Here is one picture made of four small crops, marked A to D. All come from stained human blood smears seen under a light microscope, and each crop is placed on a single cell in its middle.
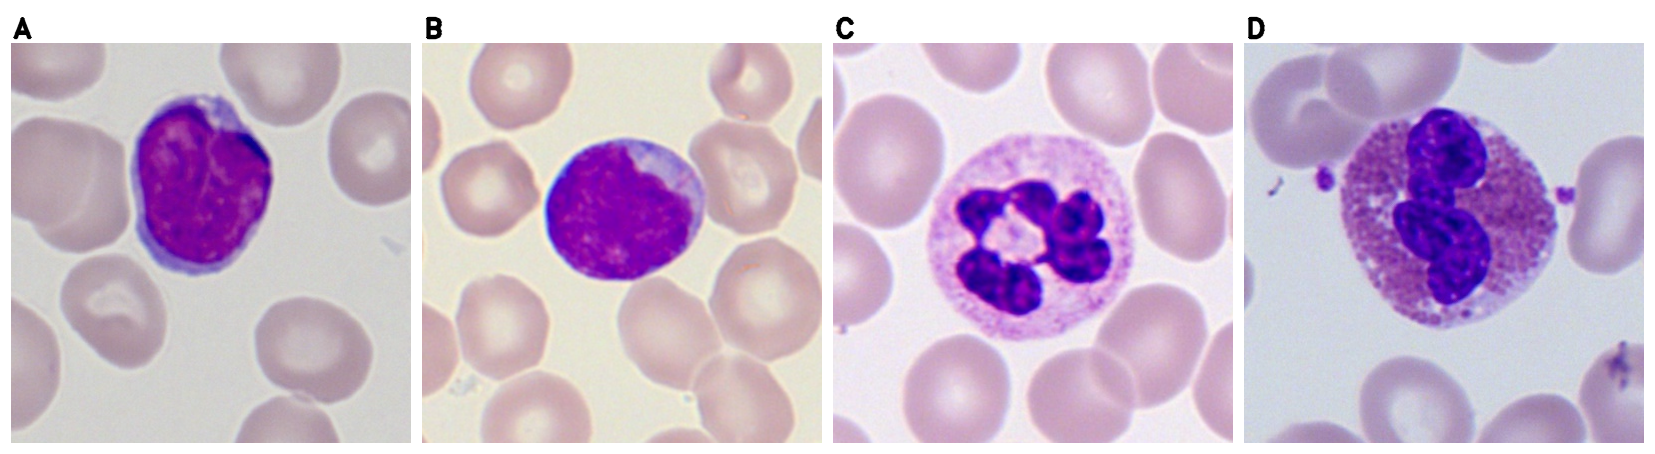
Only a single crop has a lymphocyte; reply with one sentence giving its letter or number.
Crop A represents a lymphocyte, while the other crops do not.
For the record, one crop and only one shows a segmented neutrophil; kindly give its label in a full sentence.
Crop C is the crop that shows a segmented neutrophil in its middle.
